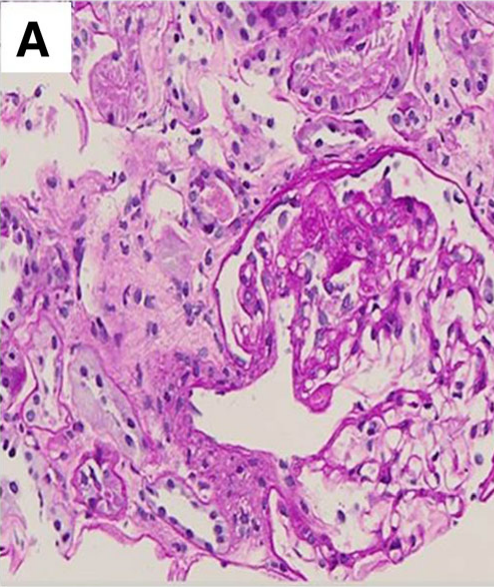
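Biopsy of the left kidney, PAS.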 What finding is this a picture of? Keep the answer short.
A: A glomerulus with segmental sclerosis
